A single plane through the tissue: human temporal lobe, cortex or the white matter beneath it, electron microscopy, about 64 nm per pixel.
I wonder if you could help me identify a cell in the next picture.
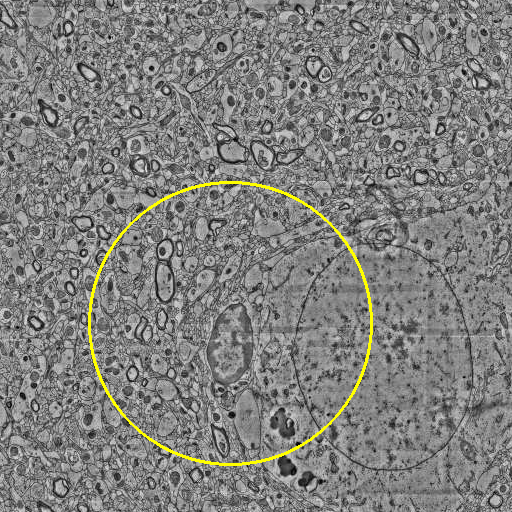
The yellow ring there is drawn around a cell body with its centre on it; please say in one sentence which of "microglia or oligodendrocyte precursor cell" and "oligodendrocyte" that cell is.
The yellow ring is centred on a microglial cell or oligodendrocyte precursor cell.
